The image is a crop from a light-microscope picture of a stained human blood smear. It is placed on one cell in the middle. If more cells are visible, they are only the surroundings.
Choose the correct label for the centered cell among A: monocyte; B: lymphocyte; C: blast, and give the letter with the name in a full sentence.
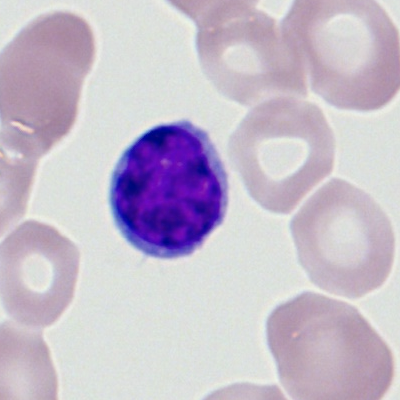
Option B stands as correct, the central cell being a lymphocyte.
